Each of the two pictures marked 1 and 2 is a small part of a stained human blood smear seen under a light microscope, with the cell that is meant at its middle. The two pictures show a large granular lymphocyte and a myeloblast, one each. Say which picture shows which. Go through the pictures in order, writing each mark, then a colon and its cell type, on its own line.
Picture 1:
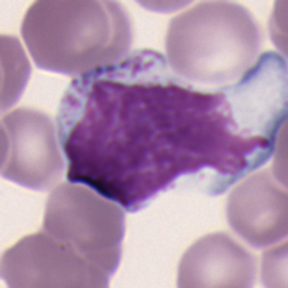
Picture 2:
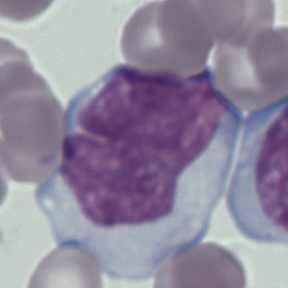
1: large granular lymphocyte
2: myeloblast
